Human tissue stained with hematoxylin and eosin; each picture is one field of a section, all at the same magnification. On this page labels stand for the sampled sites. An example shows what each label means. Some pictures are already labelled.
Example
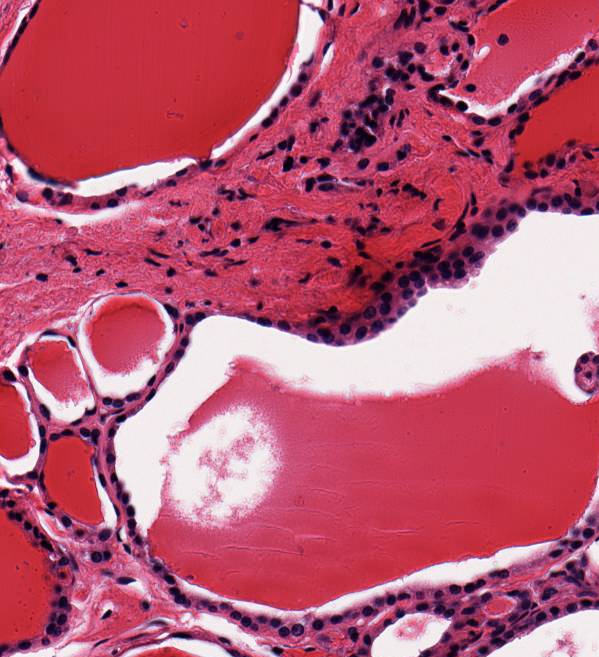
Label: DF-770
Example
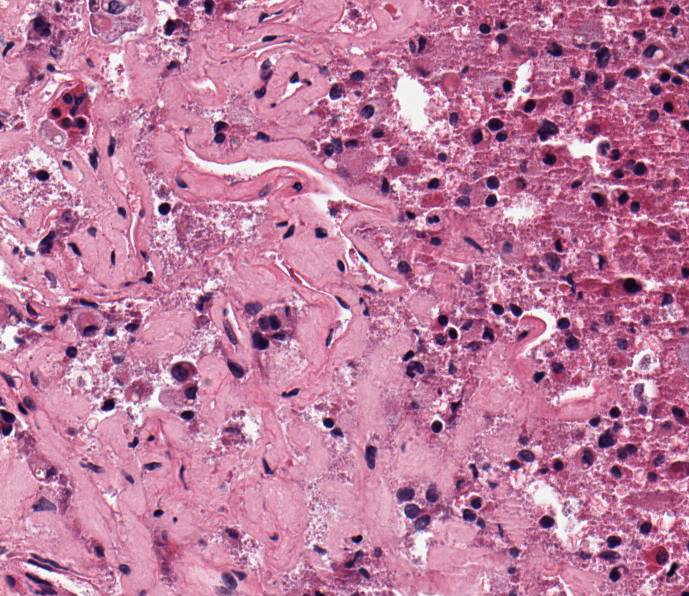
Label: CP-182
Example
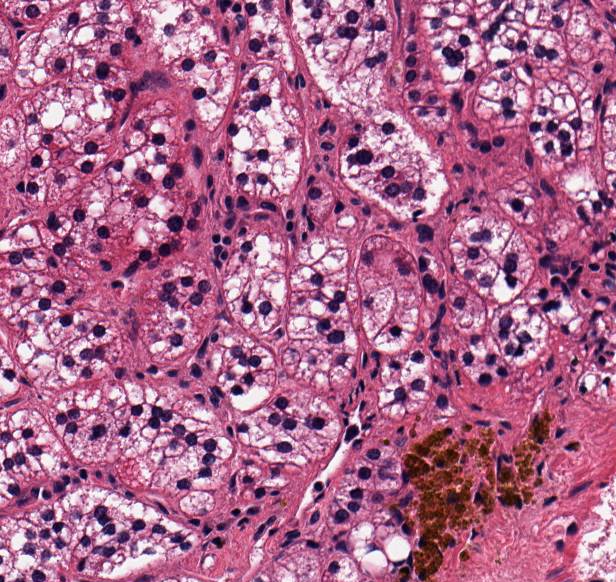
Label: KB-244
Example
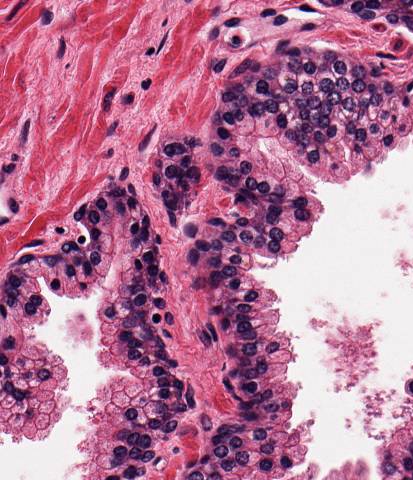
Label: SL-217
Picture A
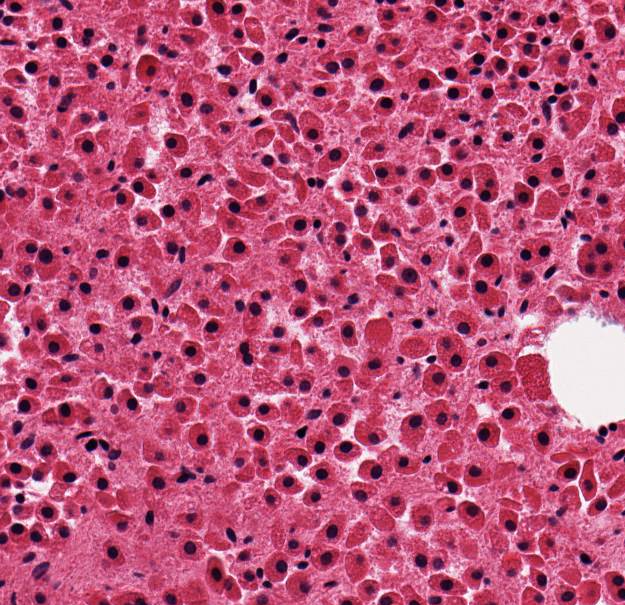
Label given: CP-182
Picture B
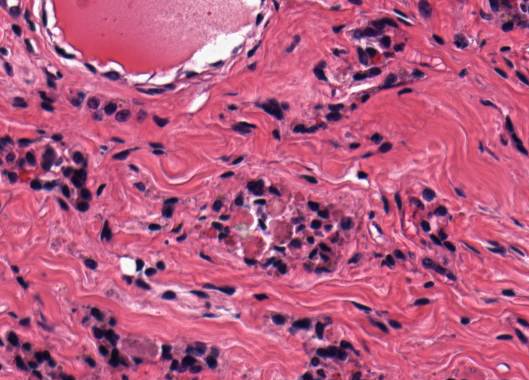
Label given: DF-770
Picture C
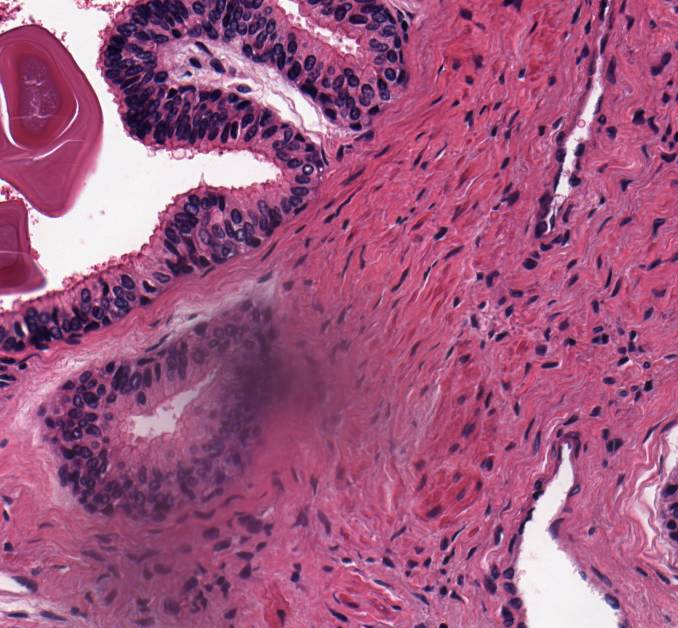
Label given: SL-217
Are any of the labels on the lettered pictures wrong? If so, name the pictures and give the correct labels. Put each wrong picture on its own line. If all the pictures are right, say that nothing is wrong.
A: KB-244, not CP-182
